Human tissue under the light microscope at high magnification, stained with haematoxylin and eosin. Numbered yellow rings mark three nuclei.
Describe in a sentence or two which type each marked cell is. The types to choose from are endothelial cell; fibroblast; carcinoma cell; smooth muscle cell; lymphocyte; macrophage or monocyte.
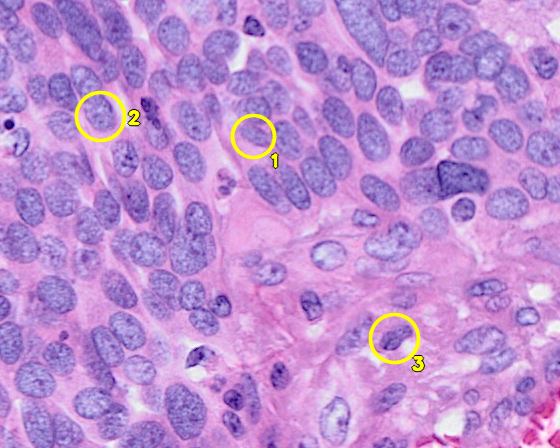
Cells 1 and 2 are carcinoma cells. Cell 3 is a macrophage or monocyte.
